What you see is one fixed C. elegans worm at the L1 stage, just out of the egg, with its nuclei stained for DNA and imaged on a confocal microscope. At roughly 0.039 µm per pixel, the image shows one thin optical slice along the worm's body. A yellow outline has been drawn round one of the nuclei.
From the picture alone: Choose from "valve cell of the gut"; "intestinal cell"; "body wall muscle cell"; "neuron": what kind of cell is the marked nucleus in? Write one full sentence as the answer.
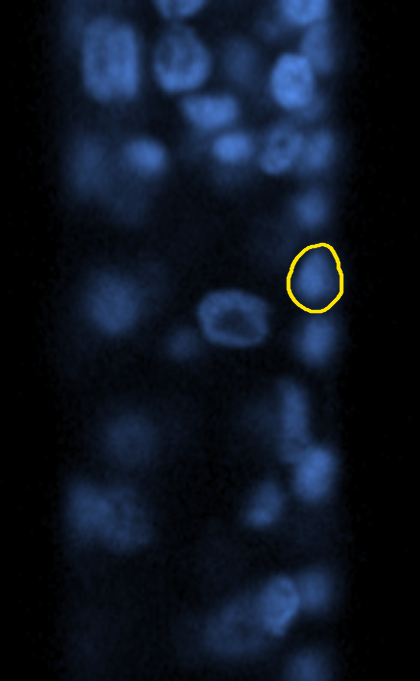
The cell with the marked nucleus is a neuron.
